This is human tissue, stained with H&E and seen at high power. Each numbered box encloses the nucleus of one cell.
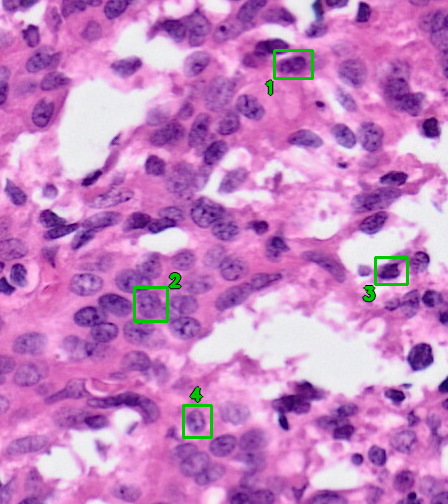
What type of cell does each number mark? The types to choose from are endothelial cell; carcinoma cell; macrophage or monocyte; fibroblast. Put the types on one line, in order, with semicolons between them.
carcinoma cell; carcinoma cell; carcinoma cell; macrophage or monocyte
